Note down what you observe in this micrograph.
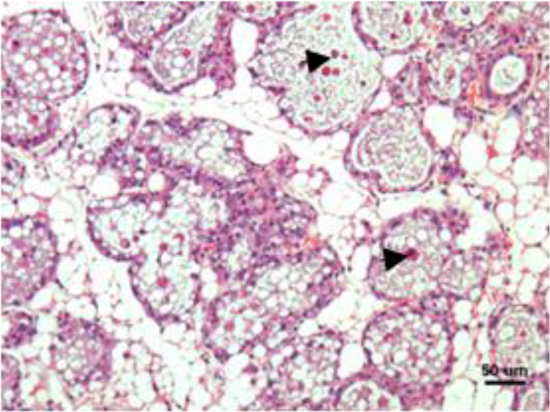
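This is mammary gland tissue stained with hematoxylin and eosin, made up of rounded alveoli separated by stroma. The alveoli are lined by epithelial cells with purple nuclei, and their lumens are filled with pale, foamy secretion full of clear vacuoles. Between the alveoli, especially to the left and centre, the stroma contains many clear round spaces typical of fat cells. A central patch shows tightly packed, darker purple epithelium with narrow lumens.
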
